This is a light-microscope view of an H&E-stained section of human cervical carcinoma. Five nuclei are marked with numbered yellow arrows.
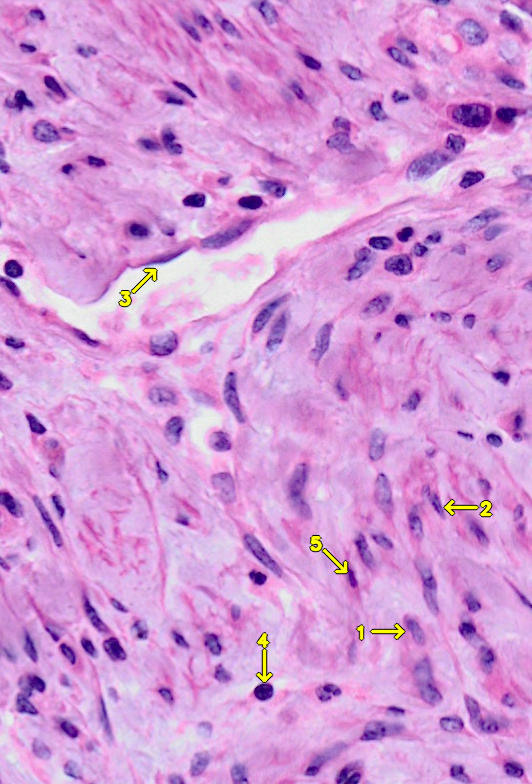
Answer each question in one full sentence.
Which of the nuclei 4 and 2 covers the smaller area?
It is nucleus 2; nucleus 4 has about 2 times its area.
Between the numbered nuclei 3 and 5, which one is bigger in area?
At about 2.5 times the area of nucleus 5, nucleus 3 is the larger of the two.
